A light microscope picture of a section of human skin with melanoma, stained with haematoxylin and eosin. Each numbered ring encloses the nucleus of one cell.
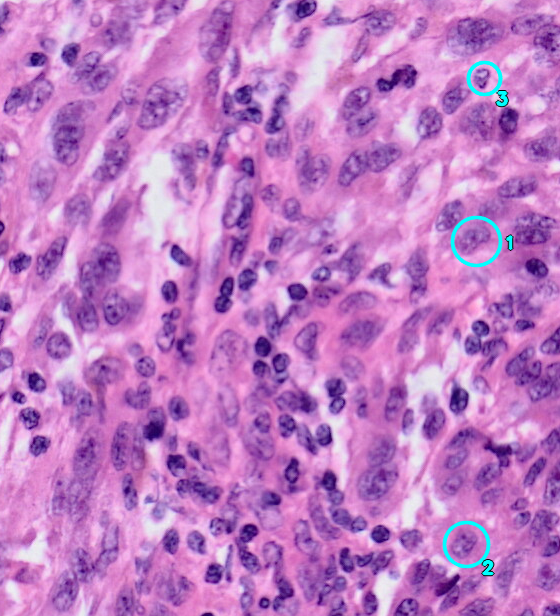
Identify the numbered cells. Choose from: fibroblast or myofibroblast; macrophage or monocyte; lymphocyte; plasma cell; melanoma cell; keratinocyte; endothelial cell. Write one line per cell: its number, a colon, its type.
1: melanoma cell
2: melanoma cell
3: lymphocyte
